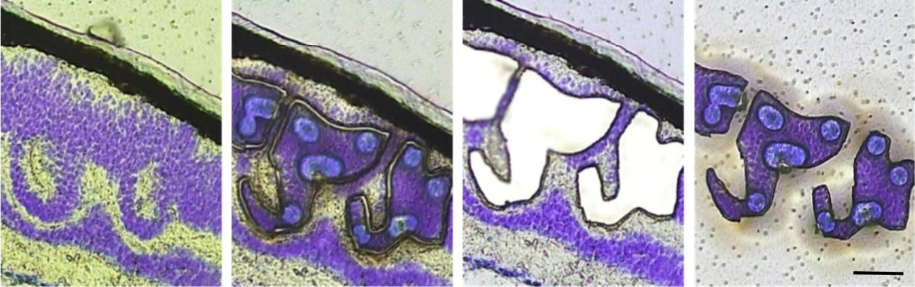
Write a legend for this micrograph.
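At the top runs a thin black pigmented band; beneath it lies a thick layer of densely packed violet nuclei that folds into whorls and rosette-like loops, and below that pale yellowish layers and another violet band. In the next view, irregular areas of the outer nuclear layer just under the black band are traced with dark lines. Then these areas are gone, leaving white holes in the section, and finally the cut pieces appear on their own, violet fragments with paler round bluish spots.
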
